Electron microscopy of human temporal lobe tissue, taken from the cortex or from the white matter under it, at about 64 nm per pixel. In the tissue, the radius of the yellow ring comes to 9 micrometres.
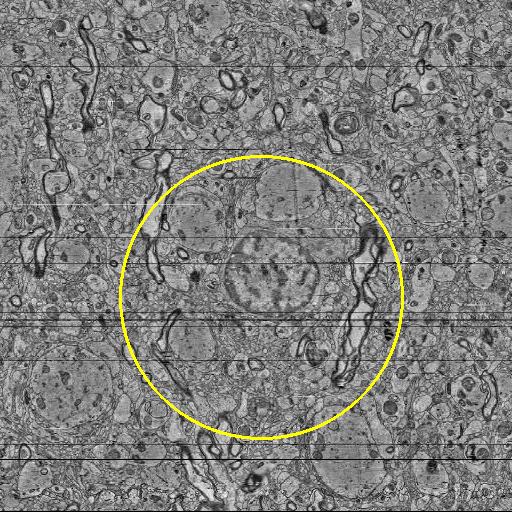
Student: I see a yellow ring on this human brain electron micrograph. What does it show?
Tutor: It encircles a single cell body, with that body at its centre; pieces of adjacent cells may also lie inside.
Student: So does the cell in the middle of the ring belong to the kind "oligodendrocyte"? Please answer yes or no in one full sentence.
Yes, the cell in the middle of that yellow ring belongs to this kind.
